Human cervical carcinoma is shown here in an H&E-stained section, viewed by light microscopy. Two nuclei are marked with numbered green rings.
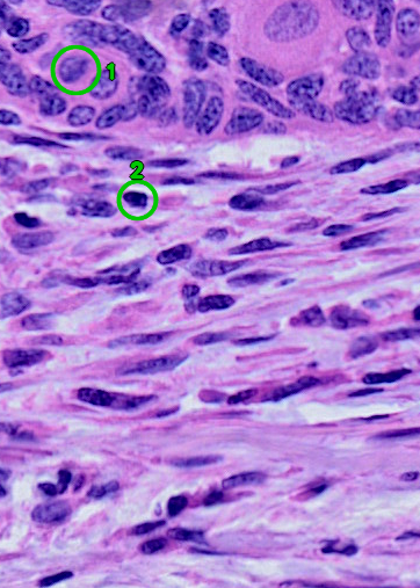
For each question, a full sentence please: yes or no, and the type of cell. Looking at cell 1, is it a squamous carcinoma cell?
Yes, among the marked cells, the one with number 1 is a squamous carcinoma cell.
